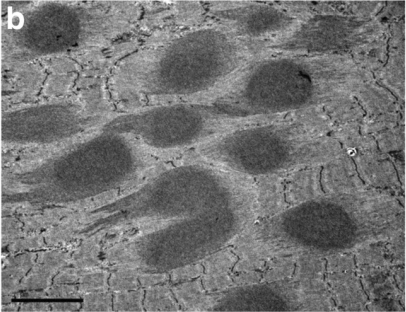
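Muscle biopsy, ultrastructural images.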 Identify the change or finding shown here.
Globular inclusions.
